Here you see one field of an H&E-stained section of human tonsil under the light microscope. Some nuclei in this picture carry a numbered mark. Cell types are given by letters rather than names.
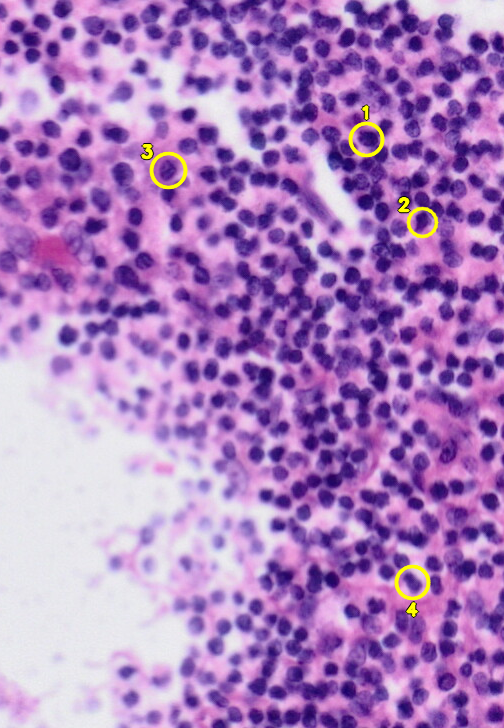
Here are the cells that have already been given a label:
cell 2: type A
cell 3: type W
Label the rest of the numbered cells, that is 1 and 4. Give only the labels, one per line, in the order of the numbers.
type A
type A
